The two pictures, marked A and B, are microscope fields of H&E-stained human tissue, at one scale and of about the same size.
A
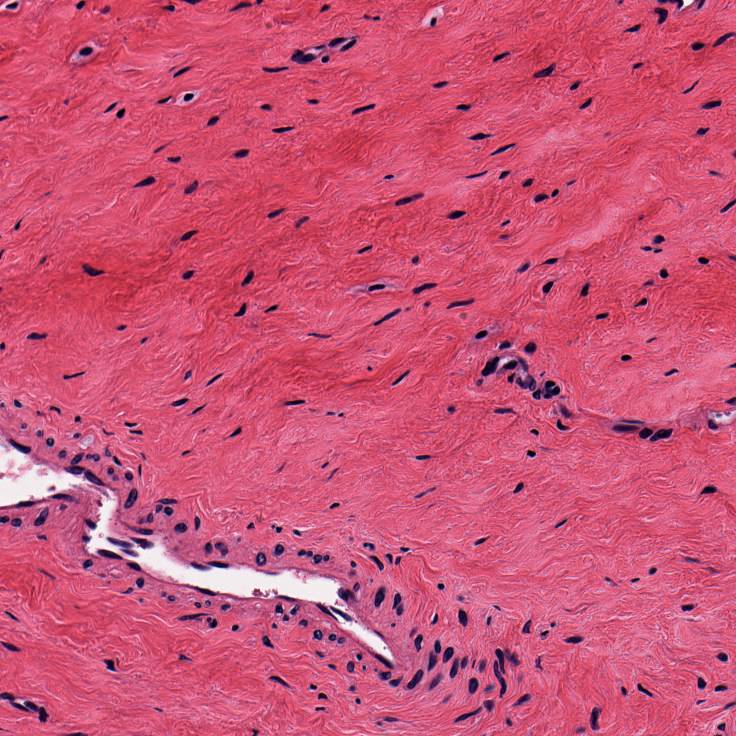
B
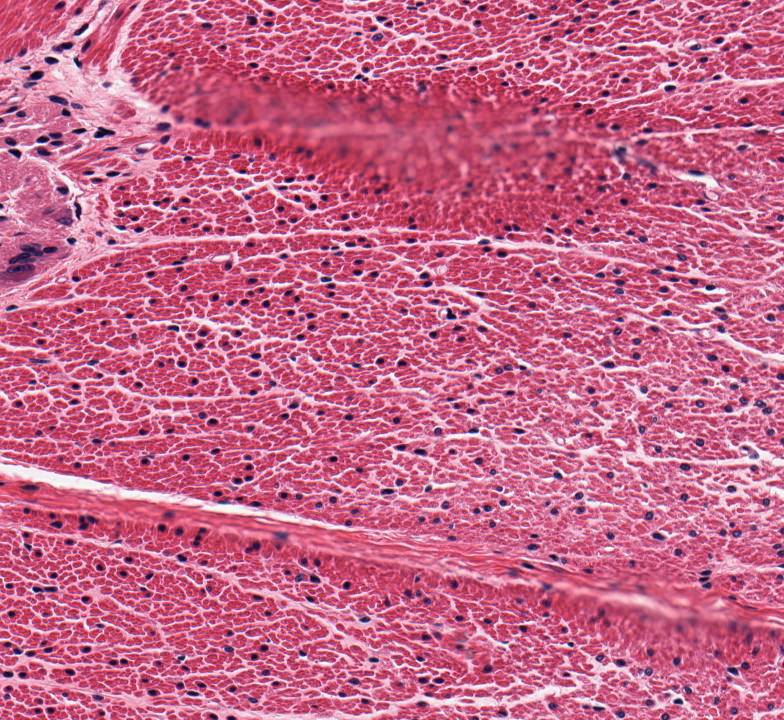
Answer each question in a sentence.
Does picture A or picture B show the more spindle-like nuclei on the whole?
Longer, more slender nuclei lie in picture A.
